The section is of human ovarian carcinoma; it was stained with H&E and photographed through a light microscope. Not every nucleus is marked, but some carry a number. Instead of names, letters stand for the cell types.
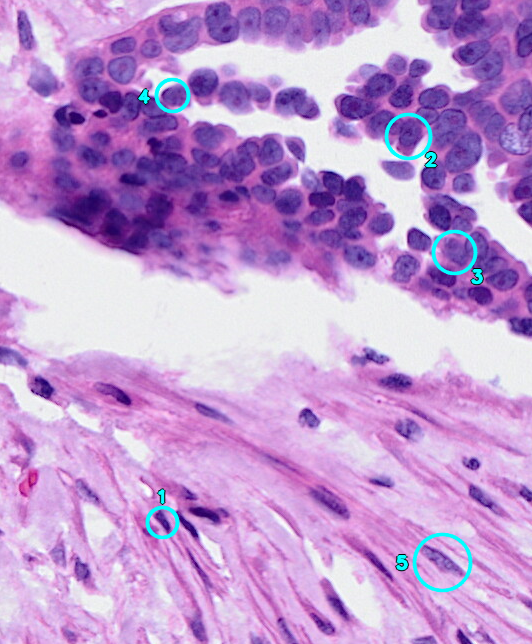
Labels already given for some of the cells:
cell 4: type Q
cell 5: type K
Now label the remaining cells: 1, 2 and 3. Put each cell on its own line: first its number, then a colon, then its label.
1: type K
2: type Q
3: type Q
